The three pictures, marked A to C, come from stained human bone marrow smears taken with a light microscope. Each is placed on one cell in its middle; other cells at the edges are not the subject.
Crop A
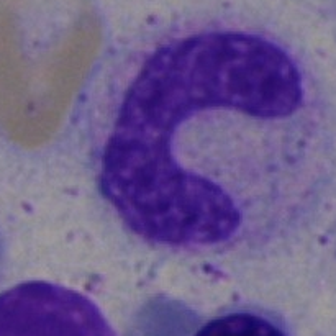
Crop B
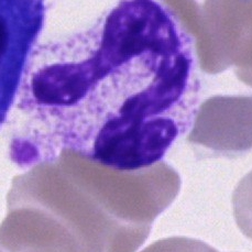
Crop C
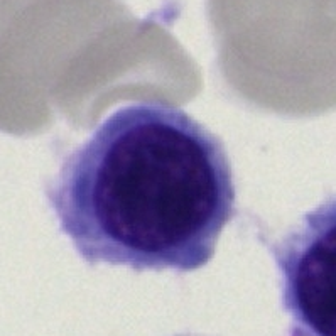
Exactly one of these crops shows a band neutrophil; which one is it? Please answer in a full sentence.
The one crop that shows a band neutrophil is crop A.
